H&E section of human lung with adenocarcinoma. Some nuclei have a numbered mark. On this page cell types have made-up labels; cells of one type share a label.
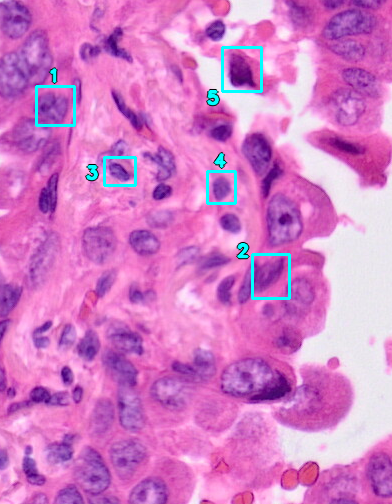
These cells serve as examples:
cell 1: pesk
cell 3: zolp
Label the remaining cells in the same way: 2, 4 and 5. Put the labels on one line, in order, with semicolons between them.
pesk; zolp; pesk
